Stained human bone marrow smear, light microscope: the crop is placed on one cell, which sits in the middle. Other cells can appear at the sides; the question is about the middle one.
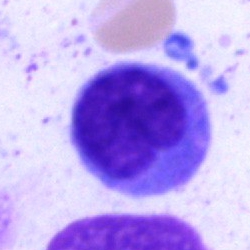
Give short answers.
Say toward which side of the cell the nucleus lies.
upper left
